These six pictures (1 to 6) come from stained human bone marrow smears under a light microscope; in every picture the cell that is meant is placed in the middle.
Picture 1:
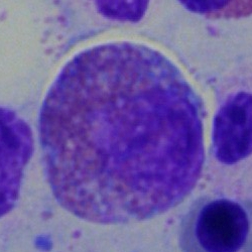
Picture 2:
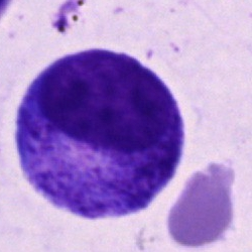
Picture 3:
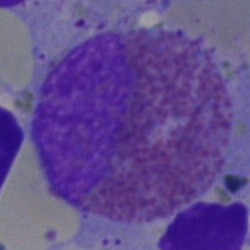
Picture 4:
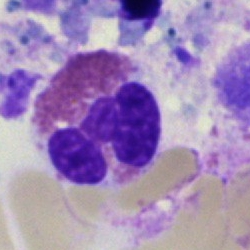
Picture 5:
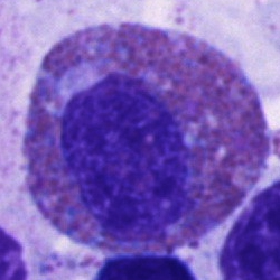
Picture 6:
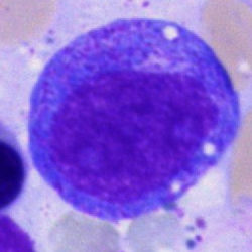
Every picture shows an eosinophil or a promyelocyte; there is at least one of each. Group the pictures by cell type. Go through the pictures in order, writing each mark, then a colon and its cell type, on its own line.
1: eosinophil
2: promyelocyte
3: eosinophil
4: eosinophil
5: eosinophil
6: promyelocyte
